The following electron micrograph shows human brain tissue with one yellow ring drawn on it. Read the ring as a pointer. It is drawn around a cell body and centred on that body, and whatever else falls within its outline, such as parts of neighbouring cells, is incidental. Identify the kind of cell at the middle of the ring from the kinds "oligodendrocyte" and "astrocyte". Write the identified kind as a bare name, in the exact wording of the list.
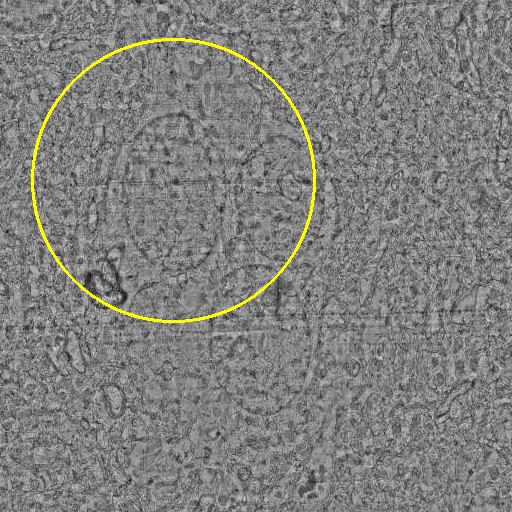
astrocyte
